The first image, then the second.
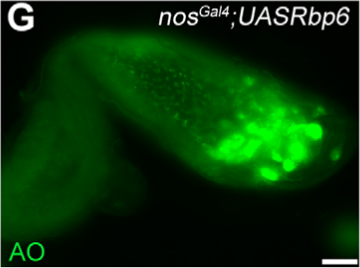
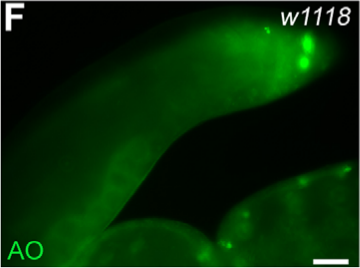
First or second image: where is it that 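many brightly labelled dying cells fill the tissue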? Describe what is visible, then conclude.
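First image: numerous bright green round bodies cluster in the testis. Second image: only a few small bright green spots near the tip.
Conclusion: the first image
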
